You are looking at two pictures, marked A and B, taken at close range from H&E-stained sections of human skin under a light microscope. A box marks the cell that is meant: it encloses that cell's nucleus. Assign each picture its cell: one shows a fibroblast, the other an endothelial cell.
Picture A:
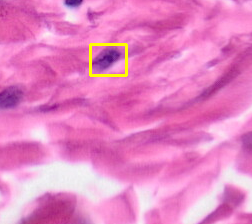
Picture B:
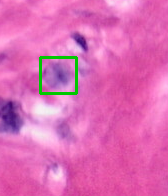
A: fibroblast
B: endothelial cell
